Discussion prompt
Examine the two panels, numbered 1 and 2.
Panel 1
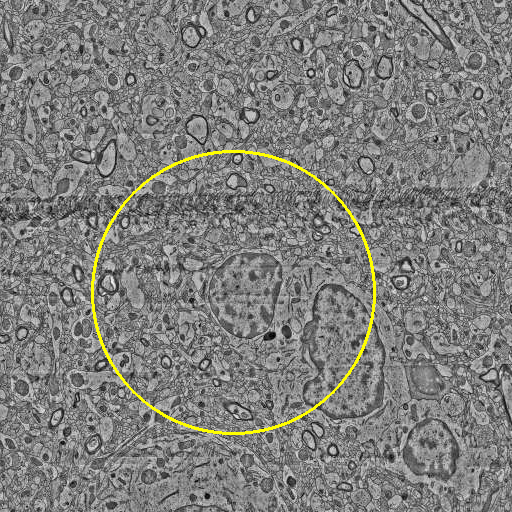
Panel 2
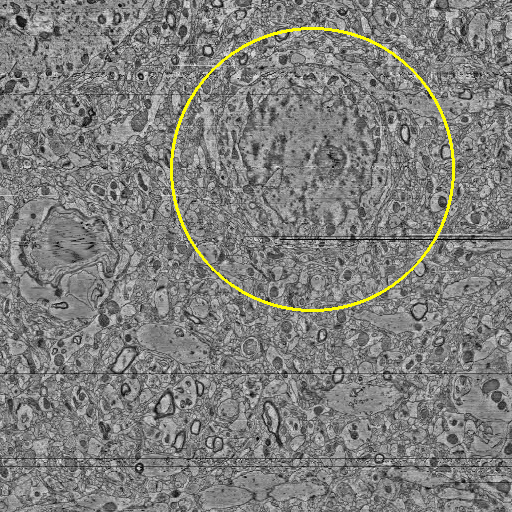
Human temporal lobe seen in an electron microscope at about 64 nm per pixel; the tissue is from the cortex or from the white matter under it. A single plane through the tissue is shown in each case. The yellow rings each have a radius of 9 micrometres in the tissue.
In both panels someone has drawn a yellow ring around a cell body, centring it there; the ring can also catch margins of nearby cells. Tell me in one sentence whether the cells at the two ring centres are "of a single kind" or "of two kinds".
Taken together, the two cells centred in the rings of Panels 1 and 2 are of two kinds.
